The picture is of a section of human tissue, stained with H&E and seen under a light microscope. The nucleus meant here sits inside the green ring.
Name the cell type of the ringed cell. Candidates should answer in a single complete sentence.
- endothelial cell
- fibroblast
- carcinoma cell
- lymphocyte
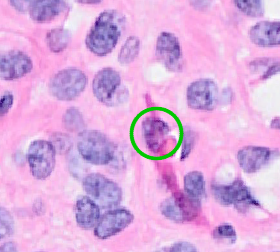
The classification of the ringed cell is as an endothelial cell.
